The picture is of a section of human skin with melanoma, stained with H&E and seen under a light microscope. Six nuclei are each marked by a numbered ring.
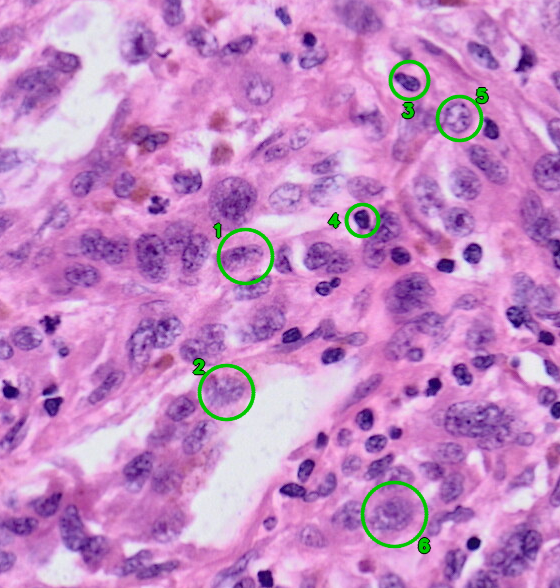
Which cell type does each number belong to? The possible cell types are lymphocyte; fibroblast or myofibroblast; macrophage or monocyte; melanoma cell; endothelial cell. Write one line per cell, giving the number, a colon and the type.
1: melanoma cell
2: melanoma cell
3: lymphocyte
4: lymphocyte
5: melanoma cell
6: melanoma cell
